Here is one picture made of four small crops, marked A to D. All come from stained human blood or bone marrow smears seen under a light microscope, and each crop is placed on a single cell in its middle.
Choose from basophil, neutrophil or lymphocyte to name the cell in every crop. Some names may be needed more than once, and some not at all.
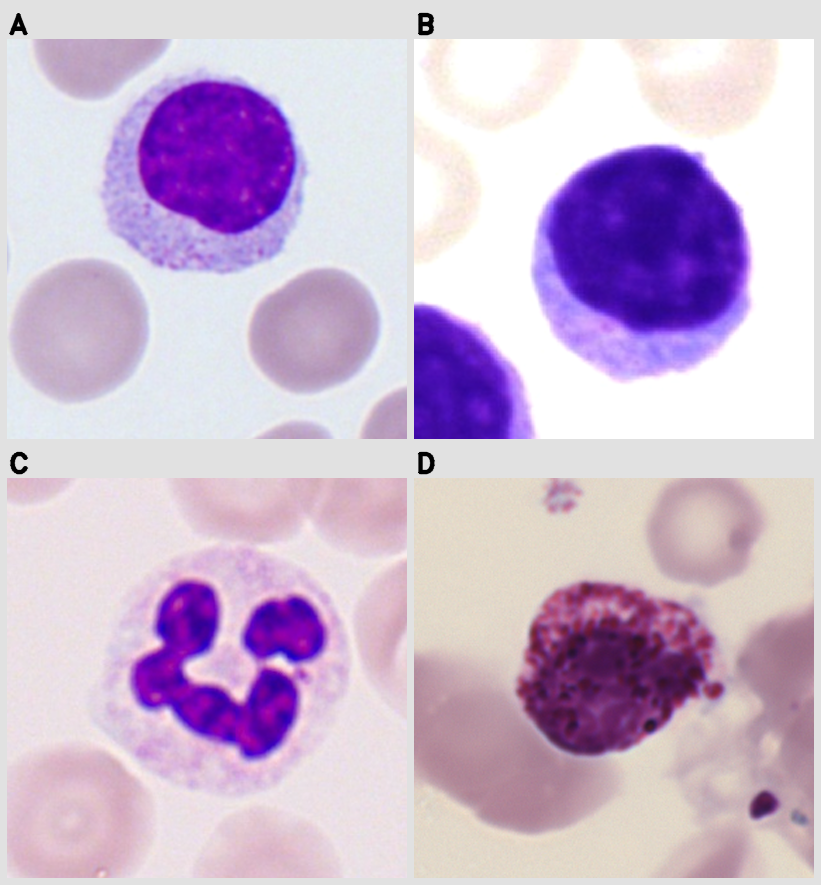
A: lymphocyte
B: lymphocyte
C: neutrophil
D: basophil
